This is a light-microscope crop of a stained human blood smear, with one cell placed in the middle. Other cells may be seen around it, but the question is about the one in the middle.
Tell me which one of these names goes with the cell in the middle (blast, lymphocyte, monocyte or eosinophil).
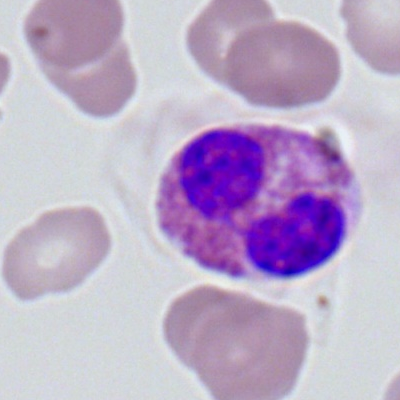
eosinophil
